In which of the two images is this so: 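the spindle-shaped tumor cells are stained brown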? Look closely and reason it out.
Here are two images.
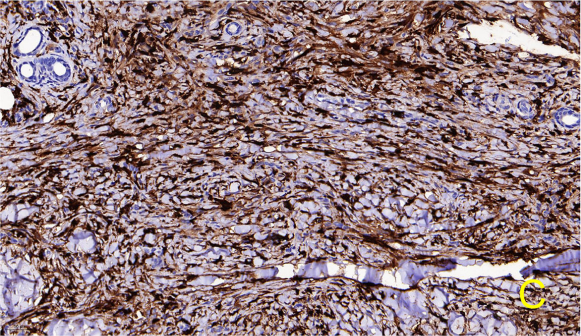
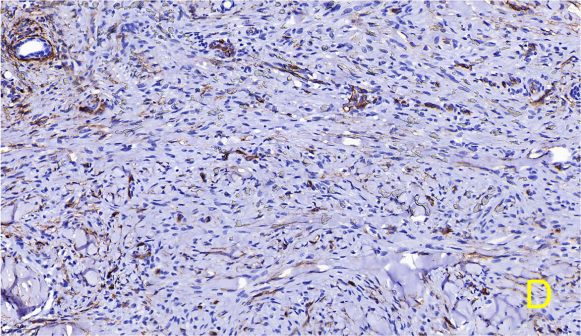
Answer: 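The first image. Second image: the spindle cells are mostly blue with only thin scattered brown strands. First image: brown stain fills most of the densely packed spindle cells.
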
